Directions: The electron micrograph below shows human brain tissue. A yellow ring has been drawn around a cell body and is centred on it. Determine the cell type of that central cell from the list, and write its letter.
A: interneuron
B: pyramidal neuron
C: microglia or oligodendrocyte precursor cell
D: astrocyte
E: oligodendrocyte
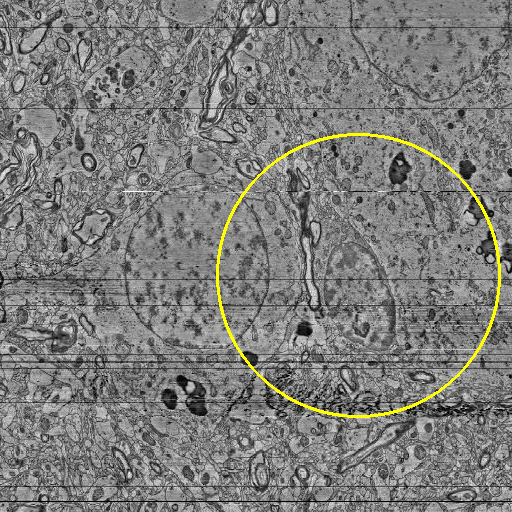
E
